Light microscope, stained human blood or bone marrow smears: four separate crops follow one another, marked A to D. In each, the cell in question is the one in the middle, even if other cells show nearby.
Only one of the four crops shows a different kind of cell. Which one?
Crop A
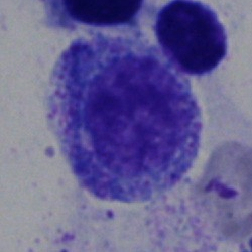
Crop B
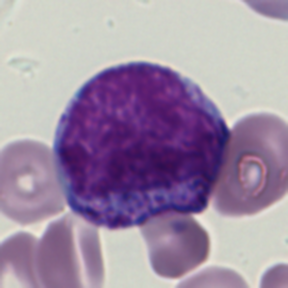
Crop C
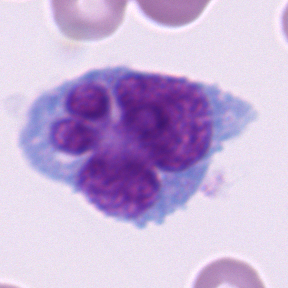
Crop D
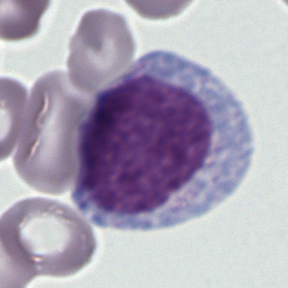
C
